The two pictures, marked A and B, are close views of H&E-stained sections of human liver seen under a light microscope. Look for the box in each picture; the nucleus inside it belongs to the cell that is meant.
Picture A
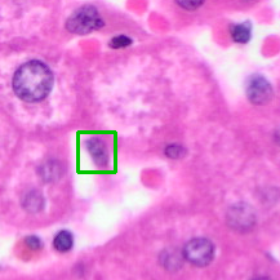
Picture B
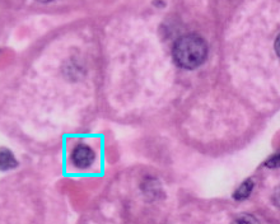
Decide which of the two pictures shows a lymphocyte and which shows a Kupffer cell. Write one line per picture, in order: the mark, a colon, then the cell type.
A: Kupffer cell
B: lymphocyte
